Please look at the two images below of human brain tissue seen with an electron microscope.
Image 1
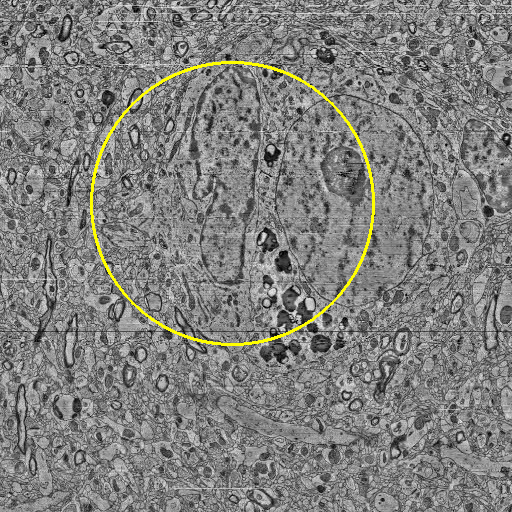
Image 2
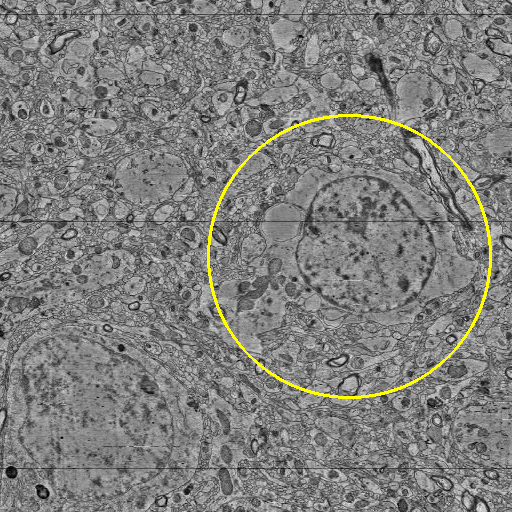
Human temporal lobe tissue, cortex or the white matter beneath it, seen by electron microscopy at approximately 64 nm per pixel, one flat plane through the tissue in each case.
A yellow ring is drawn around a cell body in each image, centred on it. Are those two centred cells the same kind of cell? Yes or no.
no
